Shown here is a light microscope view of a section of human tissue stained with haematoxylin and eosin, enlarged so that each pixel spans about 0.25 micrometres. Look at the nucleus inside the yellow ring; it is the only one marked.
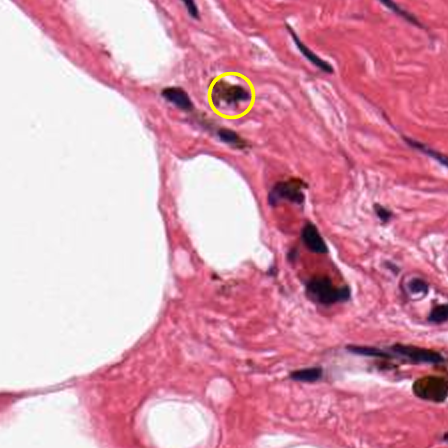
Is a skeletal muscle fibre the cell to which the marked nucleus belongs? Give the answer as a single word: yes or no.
no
